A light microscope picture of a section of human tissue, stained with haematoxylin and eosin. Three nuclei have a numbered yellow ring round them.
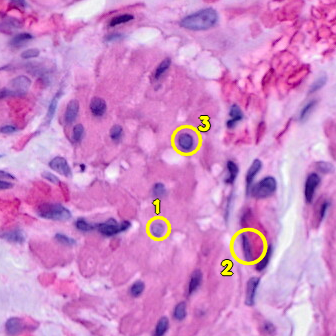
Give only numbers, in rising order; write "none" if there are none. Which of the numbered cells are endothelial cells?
2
